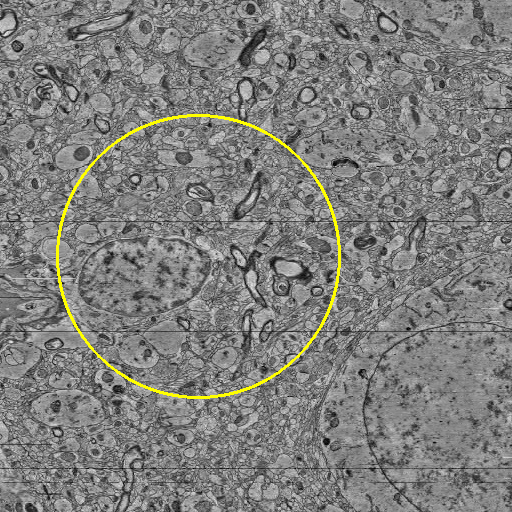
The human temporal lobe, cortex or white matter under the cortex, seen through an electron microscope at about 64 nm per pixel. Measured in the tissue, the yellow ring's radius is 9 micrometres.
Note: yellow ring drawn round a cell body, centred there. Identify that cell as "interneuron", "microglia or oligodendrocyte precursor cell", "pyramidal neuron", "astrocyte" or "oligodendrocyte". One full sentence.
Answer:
The cell in the middle of the ring is a microglial cell or oligodendrocyte precursor cell.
